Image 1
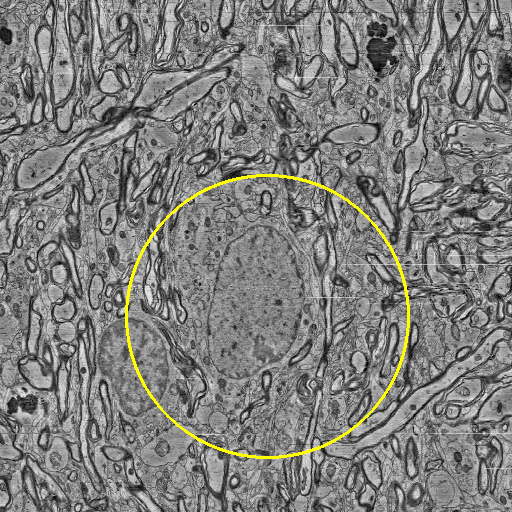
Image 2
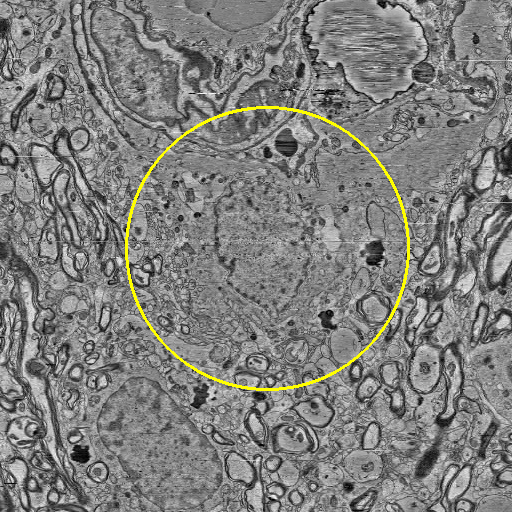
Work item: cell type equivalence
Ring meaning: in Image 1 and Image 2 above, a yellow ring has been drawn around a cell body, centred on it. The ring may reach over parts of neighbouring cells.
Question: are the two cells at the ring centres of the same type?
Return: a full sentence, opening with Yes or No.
Yes, the two centred cells are of the same type.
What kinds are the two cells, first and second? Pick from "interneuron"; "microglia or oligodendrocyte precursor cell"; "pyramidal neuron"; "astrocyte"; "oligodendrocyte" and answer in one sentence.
The ring centre holds an astrocyte in each of the two pictures.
